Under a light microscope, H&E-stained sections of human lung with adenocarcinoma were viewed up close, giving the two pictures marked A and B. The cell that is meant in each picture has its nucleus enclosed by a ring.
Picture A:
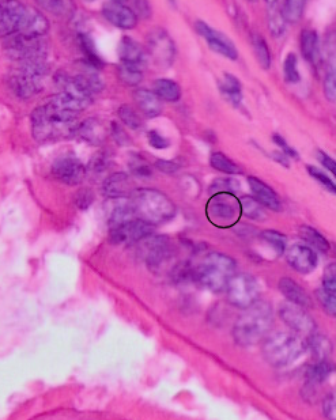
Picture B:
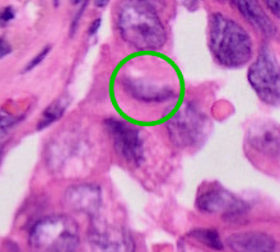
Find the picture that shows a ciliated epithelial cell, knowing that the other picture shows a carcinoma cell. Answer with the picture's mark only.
A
